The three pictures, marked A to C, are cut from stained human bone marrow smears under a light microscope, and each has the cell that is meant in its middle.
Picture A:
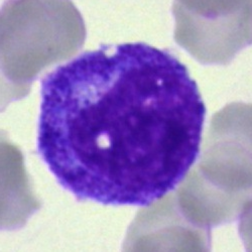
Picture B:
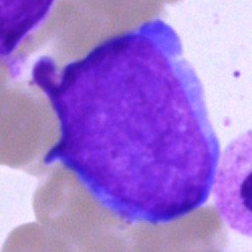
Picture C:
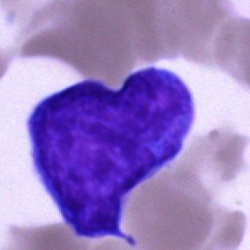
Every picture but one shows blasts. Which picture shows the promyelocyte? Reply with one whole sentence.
Picture A is the one that shows the promyelocyte.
